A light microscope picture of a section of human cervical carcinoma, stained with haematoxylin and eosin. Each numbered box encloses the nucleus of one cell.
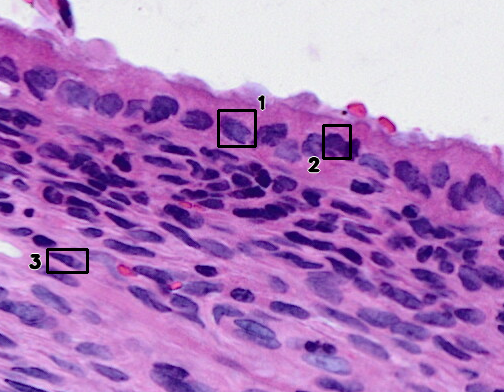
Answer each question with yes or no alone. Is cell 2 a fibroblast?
no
